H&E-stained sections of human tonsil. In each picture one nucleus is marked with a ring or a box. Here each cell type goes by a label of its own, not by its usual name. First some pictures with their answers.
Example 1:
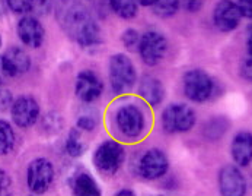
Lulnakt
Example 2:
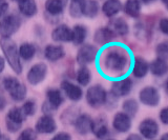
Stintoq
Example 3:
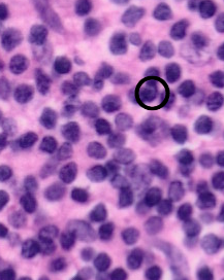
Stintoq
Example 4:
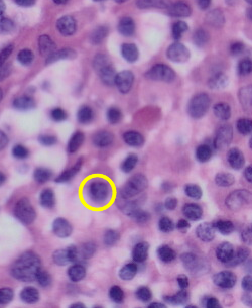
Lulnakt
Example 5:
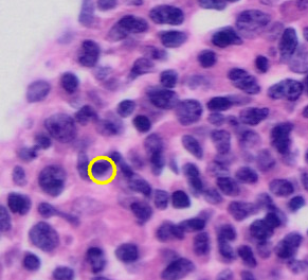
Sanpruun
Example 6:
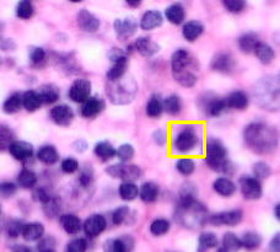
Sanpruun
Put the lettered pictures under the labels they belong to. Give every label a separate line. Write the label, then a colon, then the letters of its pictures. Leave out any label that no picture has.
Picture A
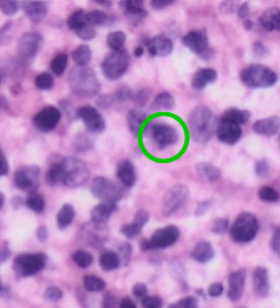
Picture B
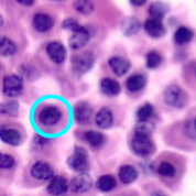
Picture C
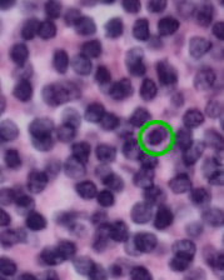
Lulnakt: B
Stintoq: C
Sanpruun: A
